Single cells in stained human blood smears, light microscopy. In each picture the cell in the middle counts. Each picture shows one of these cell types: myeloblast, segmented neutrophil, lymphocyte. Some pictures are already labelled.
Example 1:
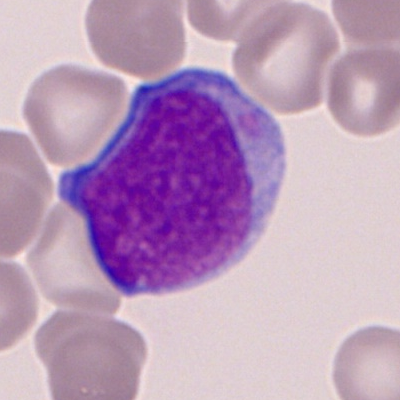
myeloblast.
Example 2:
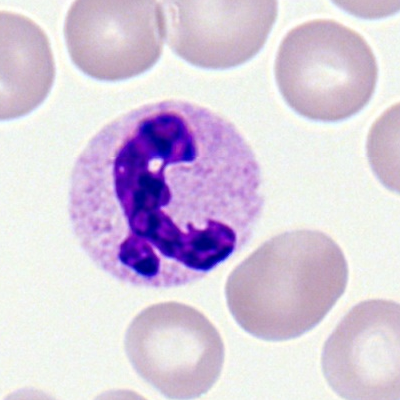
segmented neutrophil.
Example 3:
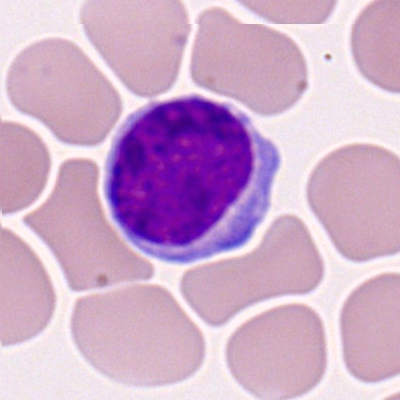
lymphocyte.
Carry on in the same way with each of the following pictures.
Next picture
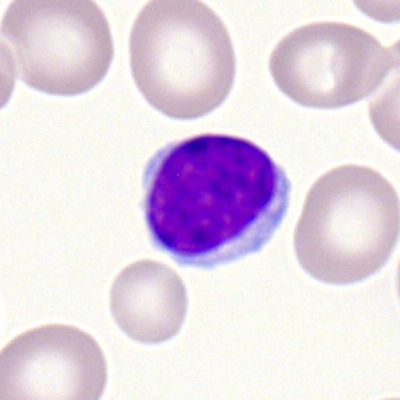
lymphocyte.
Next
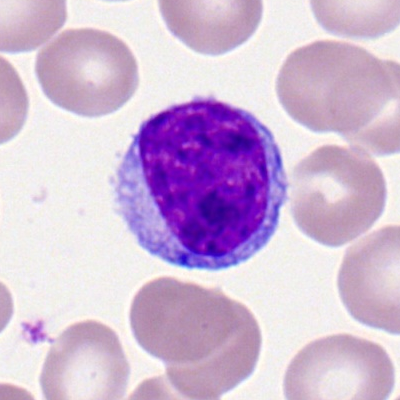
lymphocyte.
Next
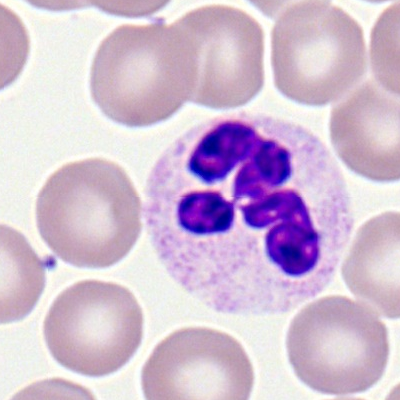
segmented neutrophil.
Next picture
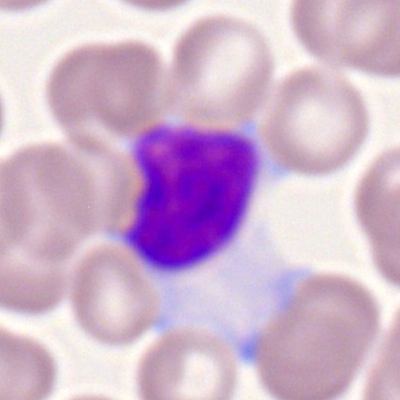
lymphocyte.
